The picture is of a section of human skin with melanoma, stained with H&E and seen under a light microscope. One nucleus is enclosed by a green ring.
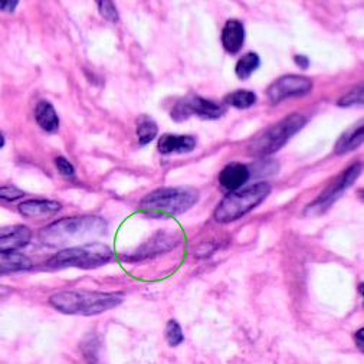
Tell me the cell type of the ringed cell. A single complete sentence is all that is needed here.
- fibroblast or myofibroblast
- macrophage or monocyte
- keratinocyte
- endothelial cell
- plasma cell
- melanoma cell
Right, so the ringed cell is an endothelial cell, to answer that.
